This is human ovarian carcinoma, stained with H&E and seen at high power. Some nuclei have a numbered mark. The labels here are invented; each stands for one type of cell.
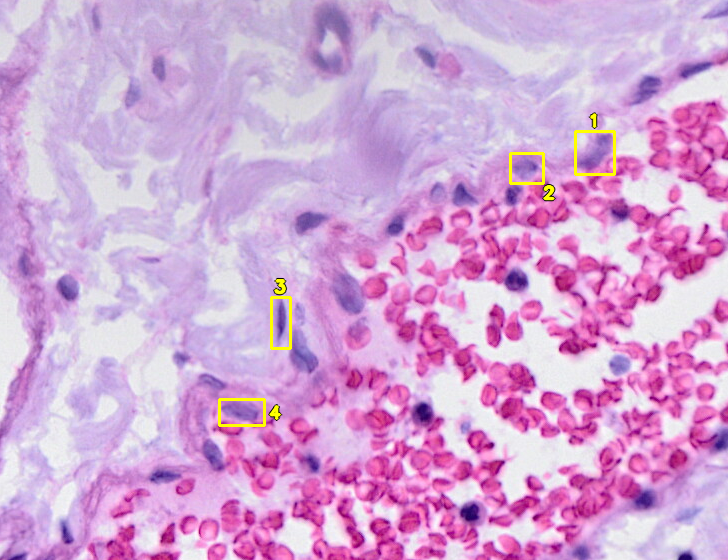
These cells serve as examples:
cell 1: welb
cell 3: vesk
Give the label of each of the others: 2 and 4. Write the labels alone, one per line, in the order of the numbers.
welb
welb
